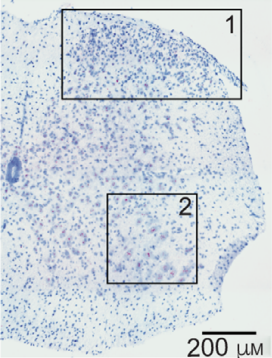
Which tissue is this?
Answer: spinal cord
